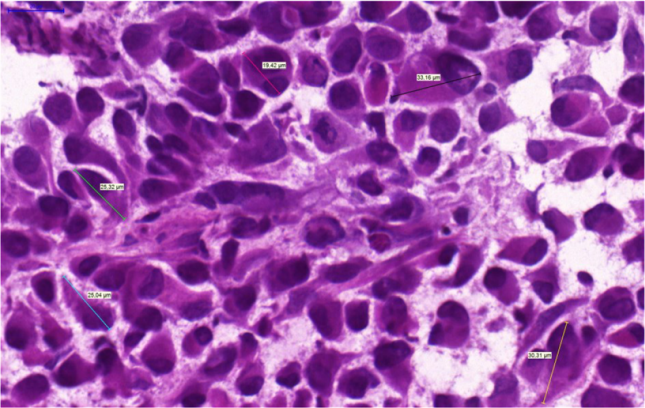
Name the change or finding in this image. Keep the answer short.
Variable sizes of tumor cells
